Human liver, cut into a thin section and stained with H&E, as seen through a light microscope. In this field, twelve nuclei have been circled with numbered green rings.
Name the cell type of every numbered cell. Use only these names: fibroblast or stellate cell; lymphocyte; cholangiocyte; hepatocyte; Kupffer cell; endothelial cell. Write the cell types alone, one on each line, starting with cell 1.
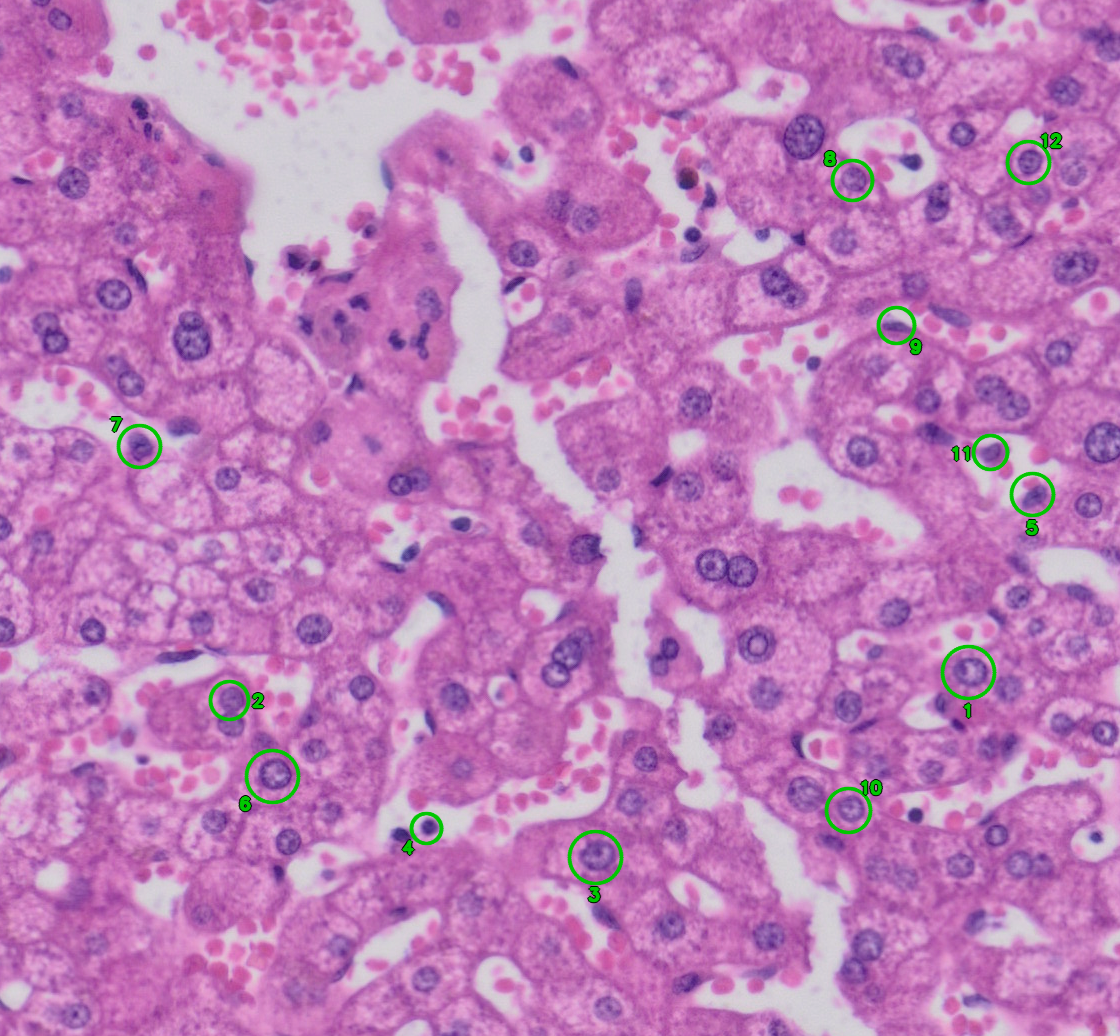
hepatocyte
hepatocyte
hepatocyte
lymphocyte
Kupffer cell
hepatocyte
Kupffer cell
hepatocyte
endothelial cell
hepatocyte
Kupffer cell
hepatocyte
